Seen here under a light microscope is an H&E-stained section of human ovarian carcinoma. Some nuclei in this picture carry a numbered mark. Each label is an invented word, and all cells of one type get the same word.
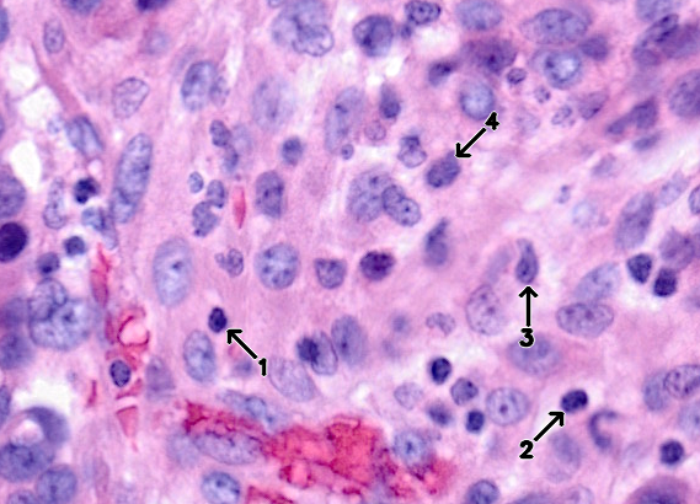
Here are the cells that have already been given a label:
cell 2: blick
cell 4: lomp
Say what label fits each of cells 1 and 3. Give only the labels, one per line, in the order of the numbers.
blick
lomp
